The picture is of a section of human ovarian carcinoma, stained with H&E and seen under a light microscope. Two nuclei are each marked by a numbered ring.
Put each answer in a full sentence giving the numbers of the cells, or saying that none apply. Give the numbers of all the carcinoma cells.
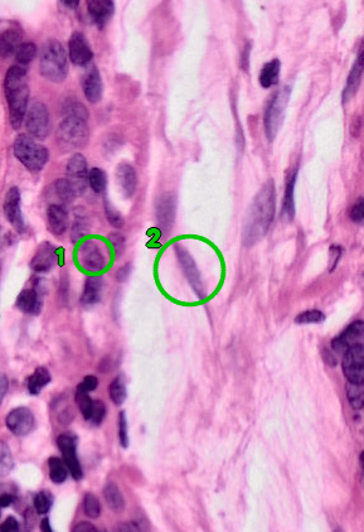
Of all the numbered cells, only cell 1 is a carcinoma cell.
